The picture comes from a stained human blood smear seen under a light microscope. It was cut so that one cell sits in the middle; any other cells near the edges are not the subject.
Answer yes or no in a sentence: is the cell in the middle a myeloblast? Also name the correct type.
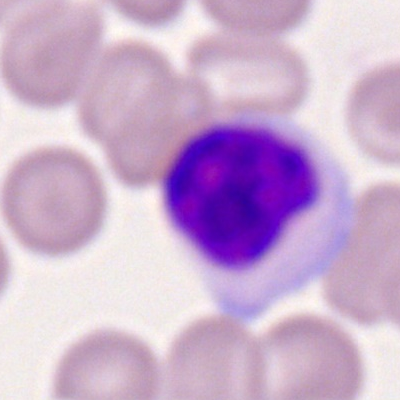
No, instead of a myeloblast, the centred cell represents a lymphocyte.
